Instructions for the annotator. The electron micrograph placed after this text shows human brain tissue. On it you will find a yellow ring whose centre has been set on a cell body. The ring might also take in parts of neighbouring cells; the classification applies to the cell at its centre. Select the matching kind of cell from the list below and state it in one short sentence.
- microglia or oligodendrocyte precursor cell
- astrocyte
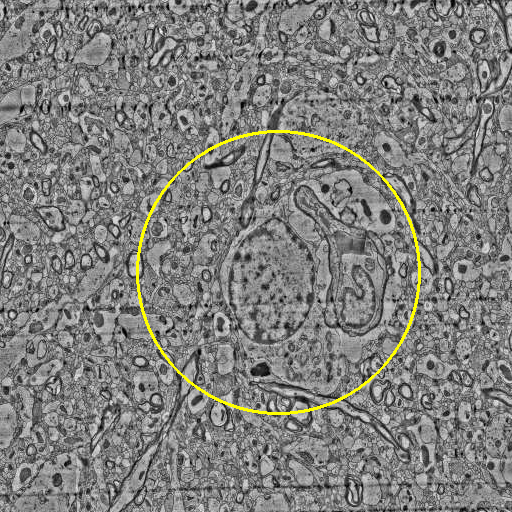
The ring is drawn on the cell body of a microglial cell or oligodendrocyte precursor cell.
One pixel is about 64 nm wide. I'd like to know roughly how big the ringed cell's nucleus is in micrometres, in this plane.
In this plane the nucleus measures roughly 8 by 5 micrometers.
